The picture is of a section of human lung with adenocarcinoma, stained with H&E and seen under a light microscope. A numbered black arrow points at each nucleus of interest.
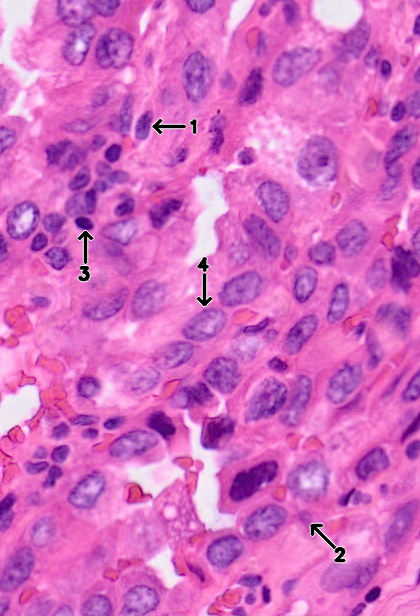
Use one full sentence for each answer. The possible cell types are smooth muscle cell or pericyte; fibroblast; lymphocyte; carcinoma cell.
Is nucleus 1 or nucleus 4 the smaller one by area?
It is nucleus 1; nucleus 4 has about 3 times its area.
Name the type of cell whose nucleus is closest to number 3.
The nearest nucleus to number 3 belongs to a fibroblast.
